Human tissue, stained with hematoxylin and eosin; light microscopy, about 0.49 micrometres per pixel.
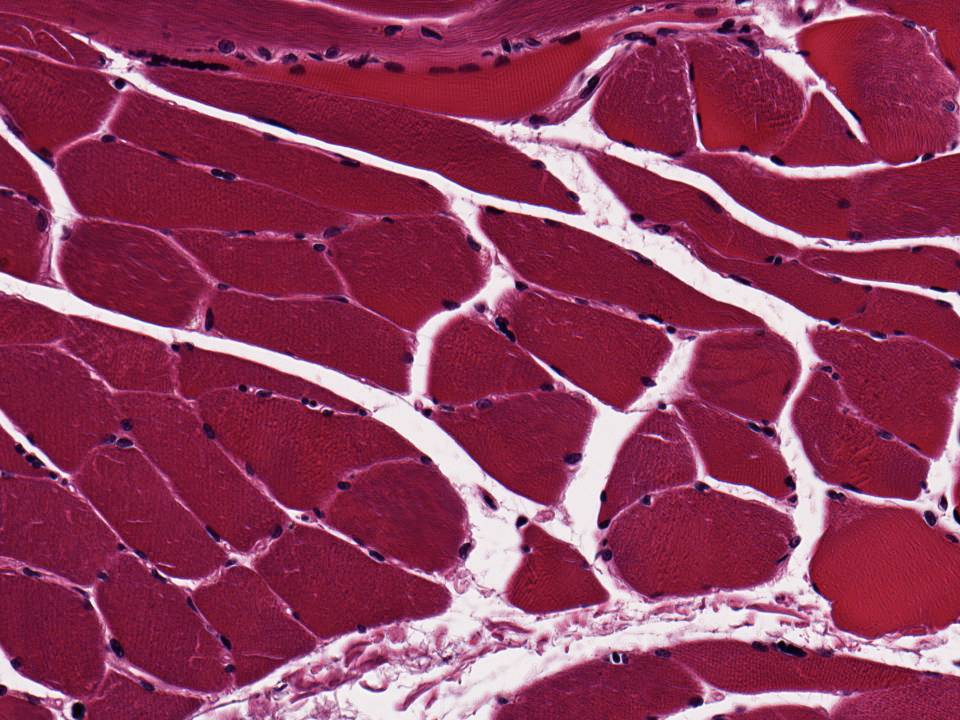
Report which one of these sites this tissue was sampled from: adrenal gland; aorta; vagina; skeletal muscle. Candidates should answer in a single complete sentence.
The site sampled for this tissue was the skeletal muscle.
